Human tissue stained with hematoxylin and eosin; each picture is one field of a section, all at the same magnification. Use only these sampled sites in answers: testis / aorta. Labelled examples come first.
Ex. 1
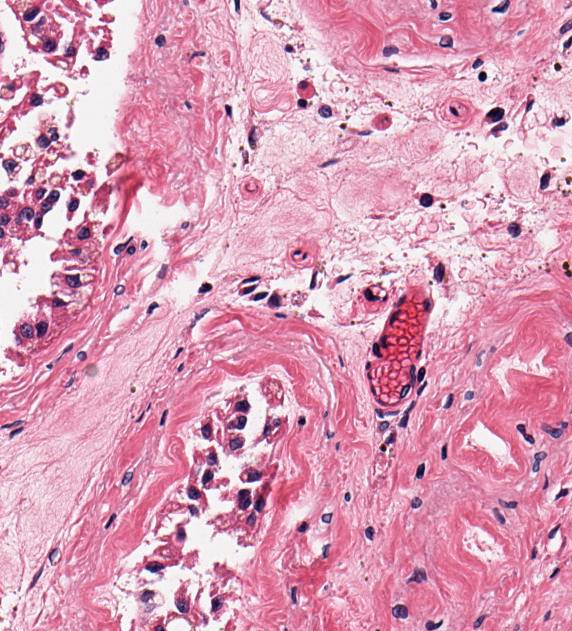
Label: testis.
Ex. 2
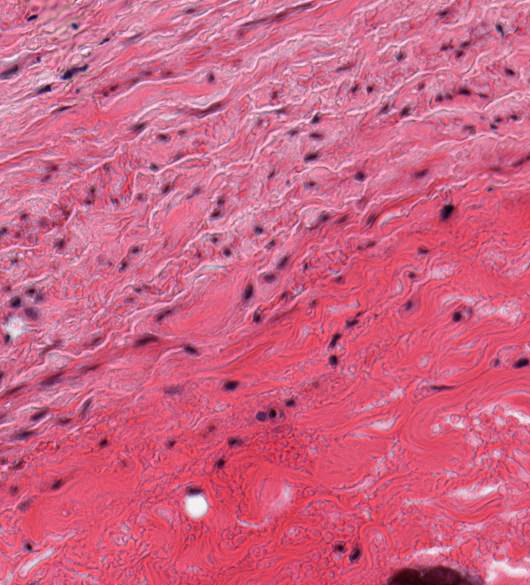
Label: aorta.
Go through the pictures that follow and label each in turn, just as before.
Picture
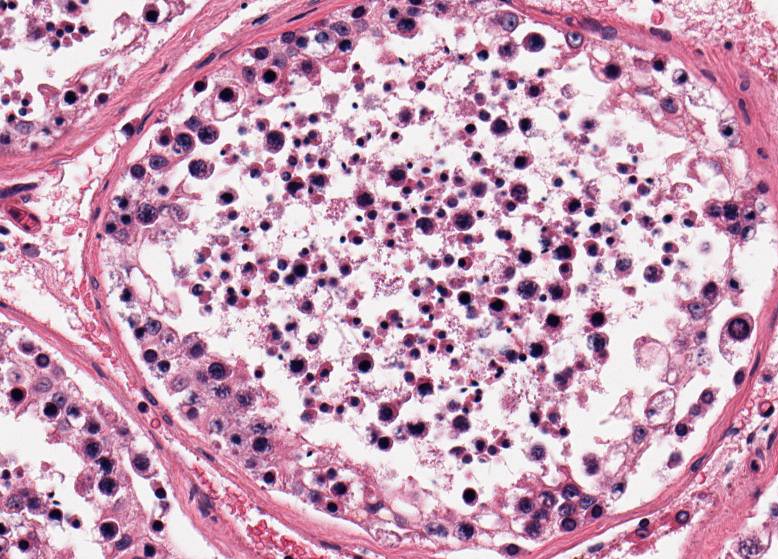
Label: testis.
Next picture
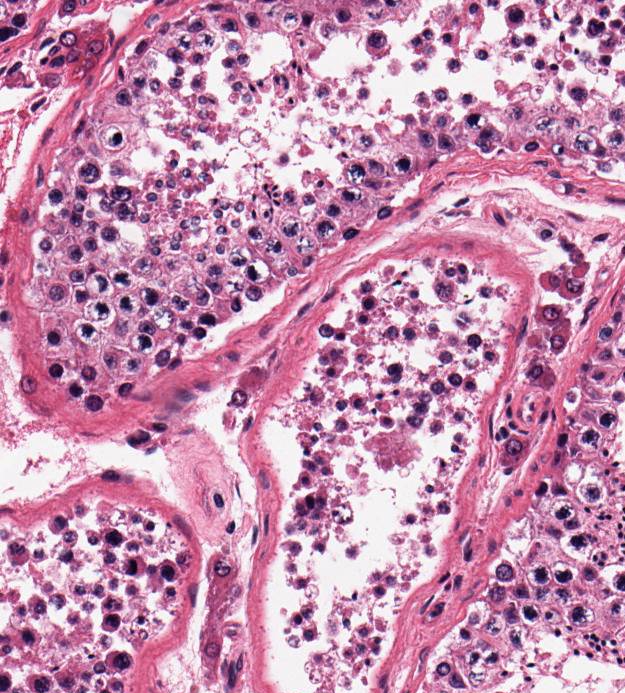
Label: testis.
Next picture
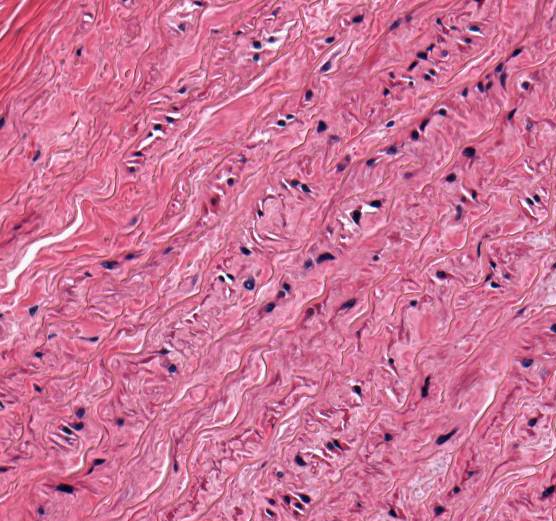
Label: aorta.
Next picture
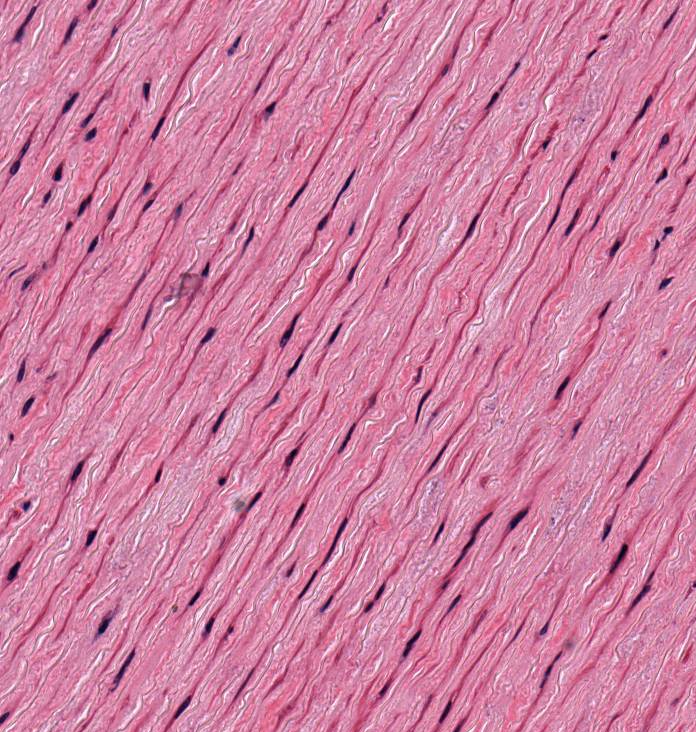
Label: aorta.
